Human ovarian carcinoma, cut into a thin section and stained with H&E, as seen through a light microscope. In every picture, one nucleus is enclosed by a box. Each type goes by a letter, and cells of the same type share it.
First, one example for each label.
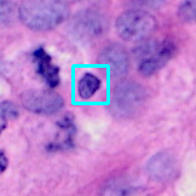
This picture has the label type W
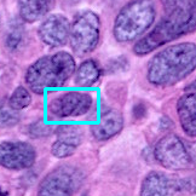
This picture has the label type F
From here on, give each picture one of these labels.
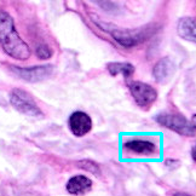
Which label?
type W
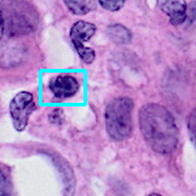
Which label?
type W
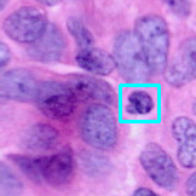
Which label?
type W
